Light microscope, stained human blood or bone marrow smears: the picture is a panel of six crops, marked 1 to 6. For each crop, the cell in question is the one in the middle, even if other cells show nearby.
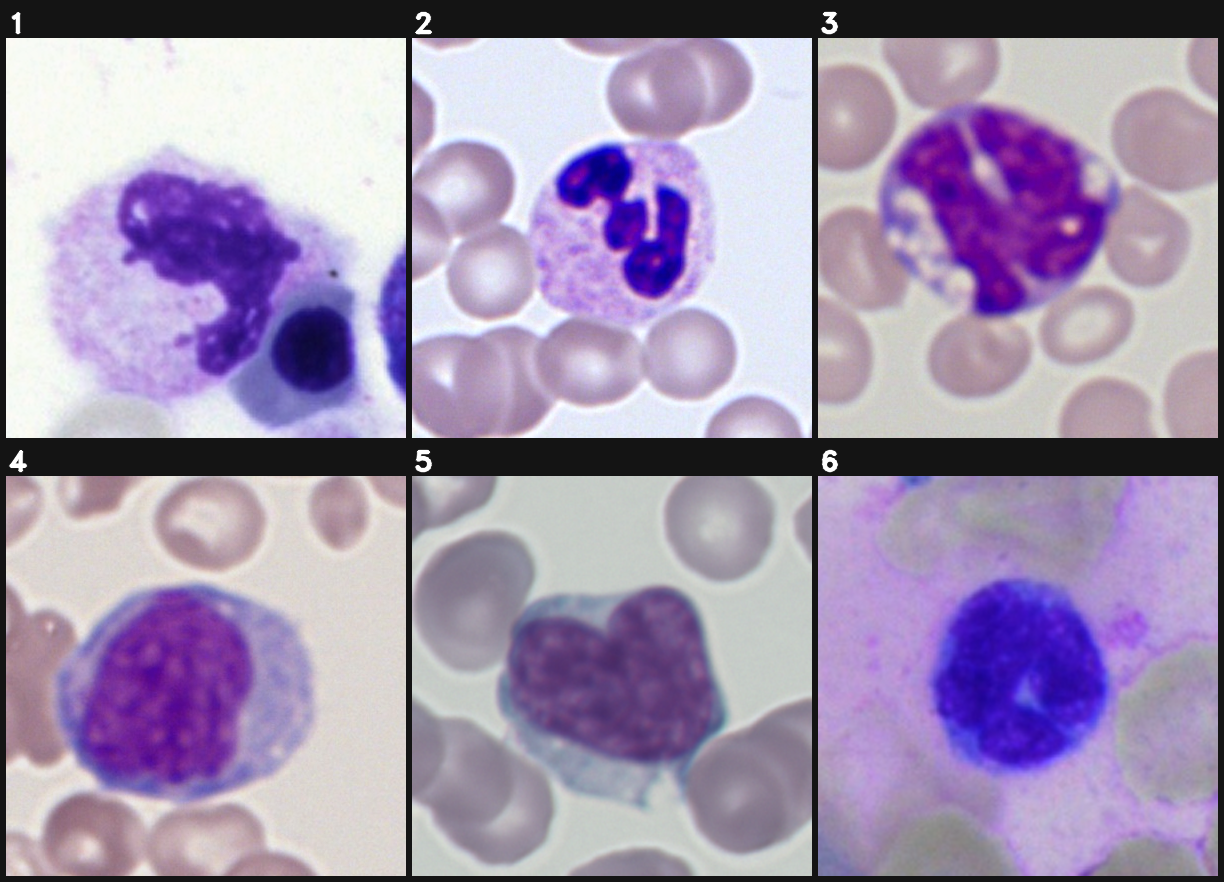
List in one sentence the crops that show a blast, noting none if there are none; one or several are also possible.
The central cell of crop 5 is a blast; no other crop's central cell is one.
